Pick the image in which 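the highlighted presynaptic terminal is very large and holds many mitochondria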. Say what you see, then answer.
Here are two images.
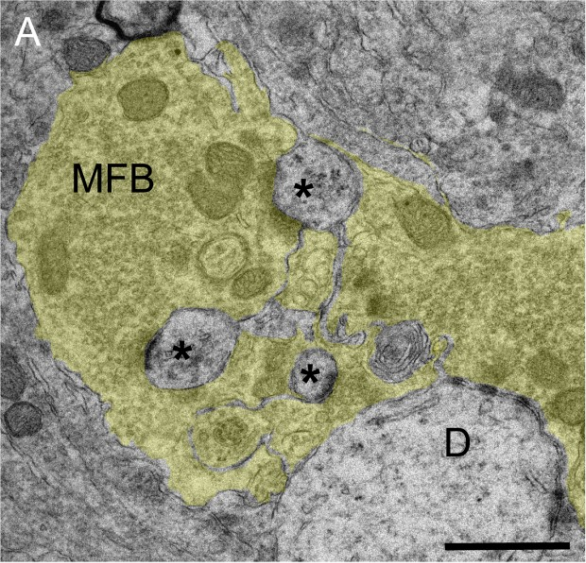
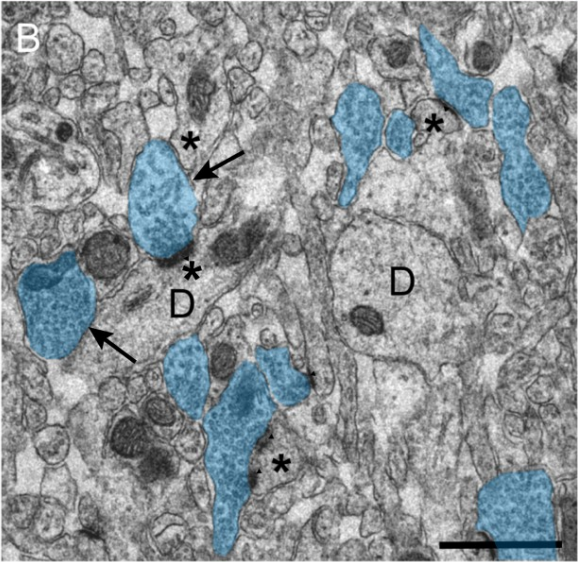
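Second image: the blue terminals are small, mostly without mitochondria. First image: the yellow terminal spans much of the field and contains many oval mitochondria. On this evidence: the first image.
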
